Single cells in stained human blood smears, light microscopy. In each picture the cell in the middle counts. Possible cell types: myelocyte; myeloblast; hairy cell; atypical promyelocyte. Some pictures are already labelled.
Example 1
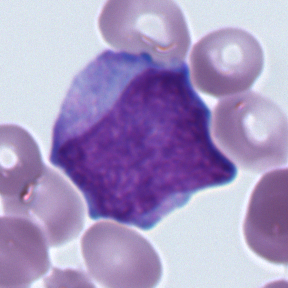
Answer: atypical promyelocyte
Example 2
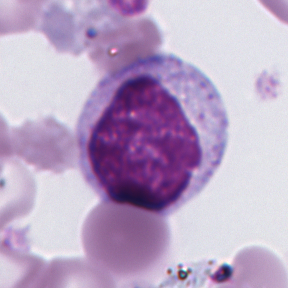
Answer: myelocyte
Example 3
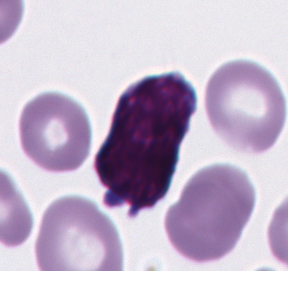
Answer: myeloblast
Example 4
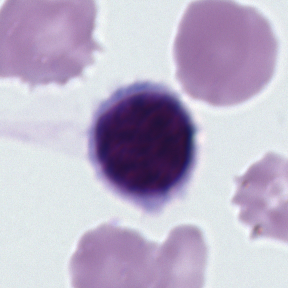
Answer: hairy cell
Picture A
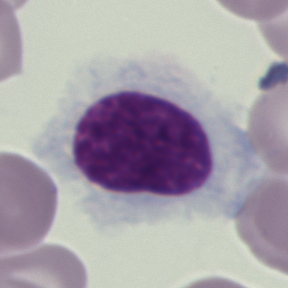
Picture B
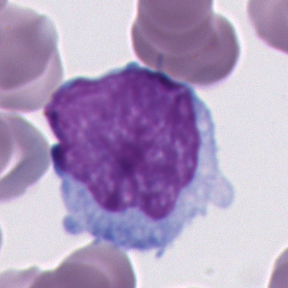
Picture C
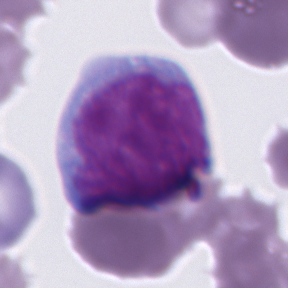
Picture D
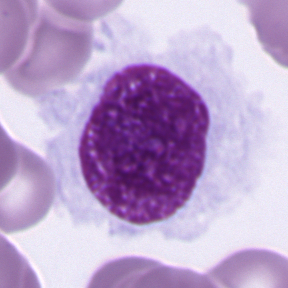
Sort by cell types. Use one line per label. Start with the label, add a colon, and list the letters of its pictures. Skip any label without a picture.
myeloblast: B, C
hairy cell: A, D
